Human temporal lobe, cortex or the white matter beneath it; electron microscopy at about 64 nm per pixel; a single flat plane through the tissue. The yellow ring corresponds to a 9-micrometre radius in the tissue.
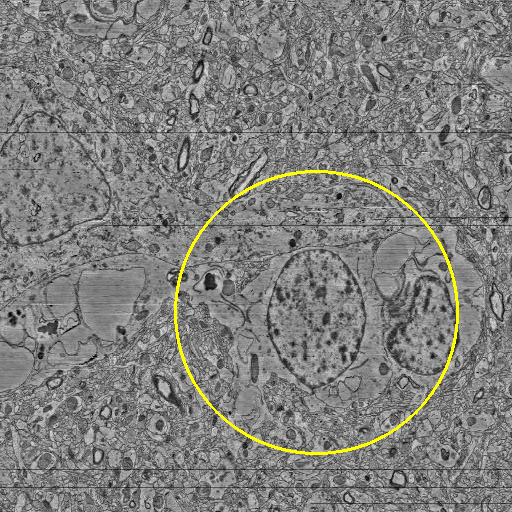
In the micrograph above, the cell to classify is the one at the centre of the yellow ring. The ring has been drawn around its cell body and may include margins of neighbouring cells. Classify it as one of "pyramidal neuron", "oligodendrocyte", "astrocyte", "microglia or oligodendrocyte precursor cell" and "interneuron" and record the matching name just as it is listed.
astrocyte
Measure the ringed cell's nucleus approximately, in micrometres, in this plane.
About 9 by 6 micrometers for the nucleus, in this plane.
